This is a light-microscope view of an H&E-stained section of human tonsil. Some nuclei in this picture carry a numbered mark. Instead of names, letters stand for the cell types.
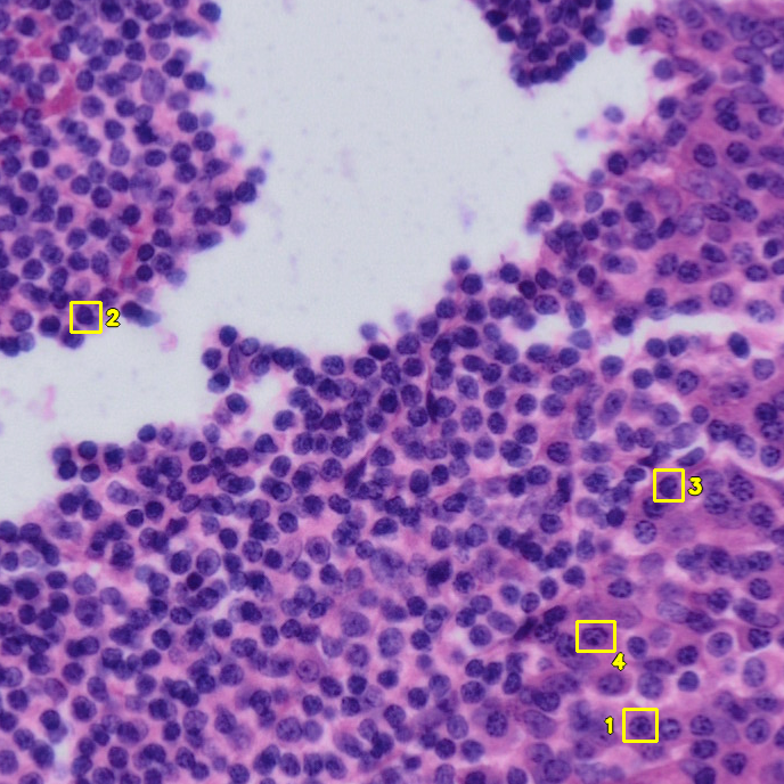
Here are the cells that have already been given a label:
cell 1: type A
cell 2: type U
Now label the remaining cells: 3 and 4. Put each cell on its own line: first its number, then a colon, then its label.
3: type A
4: type A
